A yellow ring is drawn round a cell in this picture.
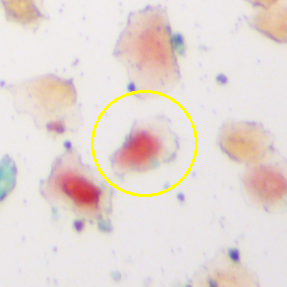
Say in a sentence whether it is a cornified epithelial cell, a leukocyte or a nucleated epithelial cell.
The cell in the ring is a nucleated epithelial cell.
